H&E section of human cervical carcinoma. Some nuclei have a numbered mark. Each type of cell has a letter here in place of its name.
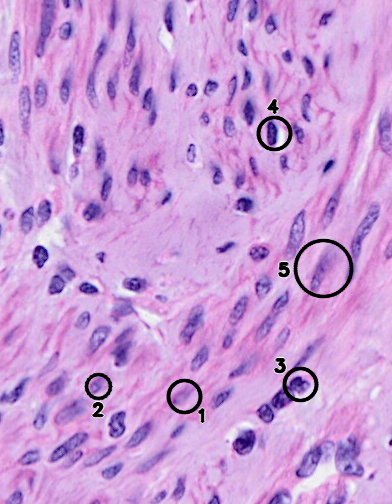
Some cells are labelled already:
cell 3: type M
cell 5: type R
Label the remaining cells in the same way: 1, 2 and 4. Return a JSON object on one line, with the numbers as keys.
{"1": "type R", "2": "type R", "4": "type M"}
